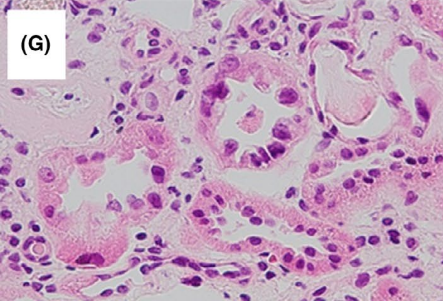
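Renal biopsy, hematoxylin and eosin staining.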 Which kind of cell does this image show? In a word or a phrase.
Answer: Proximal tubular cells.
